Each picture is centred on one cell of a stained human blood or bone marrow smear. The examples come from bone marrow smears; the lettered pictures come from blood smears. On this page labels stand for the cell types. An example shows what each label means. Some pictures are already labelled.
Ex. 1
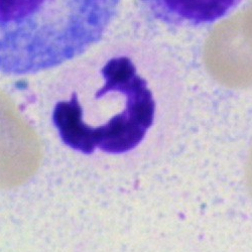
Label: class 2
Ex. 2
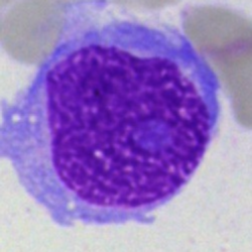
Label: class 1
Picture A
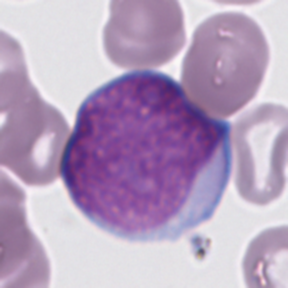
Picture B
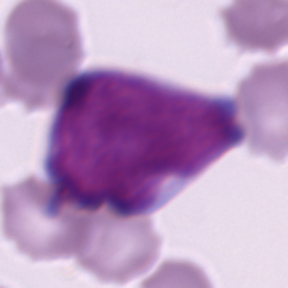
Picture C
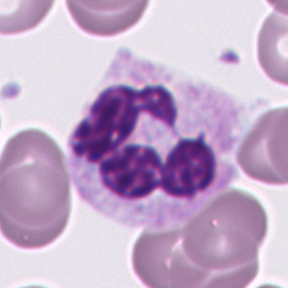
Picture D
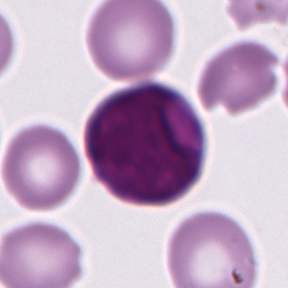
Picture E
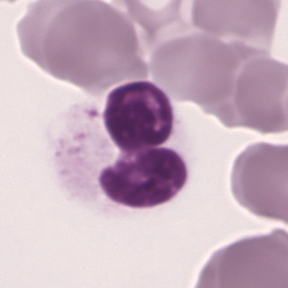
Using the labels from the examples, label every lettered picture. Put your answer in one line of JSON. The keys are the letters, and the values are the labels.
{"A": "class 1", "B": "class 1", "C": "class 2", "D": "class 1", "E": "class 2"}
